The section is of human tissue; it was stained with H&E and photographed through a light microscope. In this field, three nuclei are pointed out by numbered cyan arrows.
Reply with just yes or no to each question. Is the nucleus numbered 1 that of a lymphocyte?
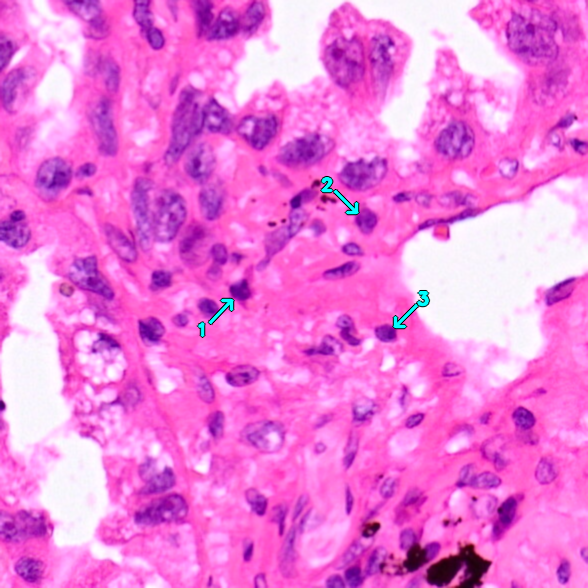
no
